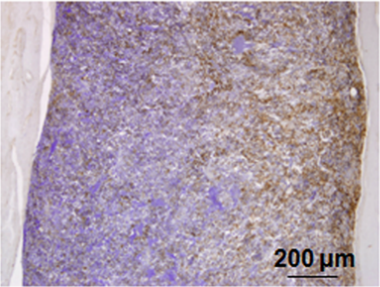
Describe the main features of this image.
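This is a low-power section of bone in which a broad band of densely packed tissue lies between pale borders on the left and right. The band is crowded with small blue-purple nuclei, giving a fine granular texture throughout. A few paler, more purple areas without brown are scattered within the band. Individual cells cannot be clearly separated at this magnification; only the overall texture and distribution of the stain can be seen.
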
